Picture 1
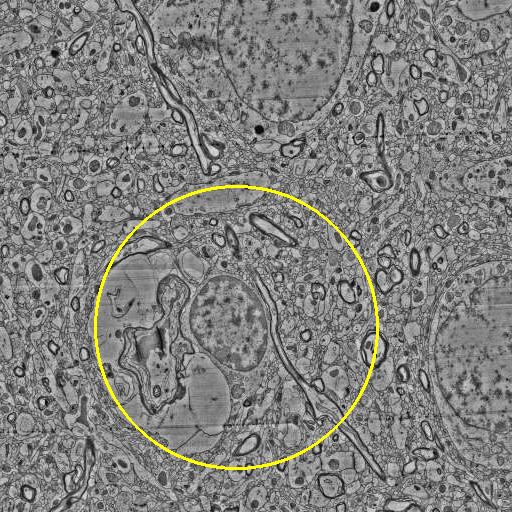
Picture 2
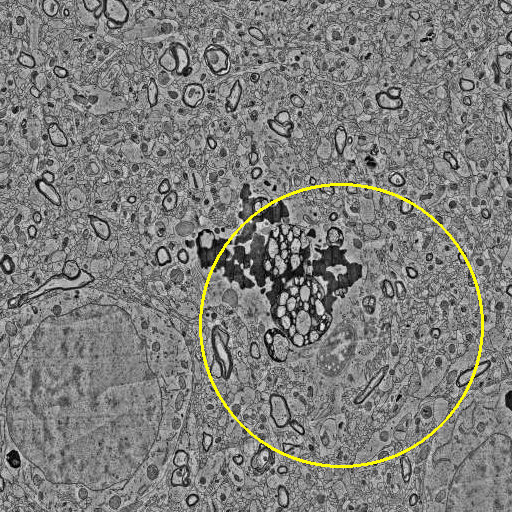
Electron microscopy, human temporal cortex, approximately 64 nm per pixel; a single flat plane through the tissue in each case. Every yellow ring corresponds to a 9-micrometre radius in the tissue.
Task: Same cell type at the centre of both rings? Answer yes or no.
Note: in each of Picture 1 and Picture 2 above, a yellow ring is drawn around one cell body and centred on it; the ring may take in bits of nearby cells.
no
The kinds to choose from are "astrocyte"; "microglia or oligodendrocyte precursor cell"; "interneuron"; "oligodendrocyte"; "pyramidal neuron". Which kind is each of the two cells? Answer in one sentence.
Of the two, the first cell is an oligodendrocyte and the second cell is an astrocyte.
